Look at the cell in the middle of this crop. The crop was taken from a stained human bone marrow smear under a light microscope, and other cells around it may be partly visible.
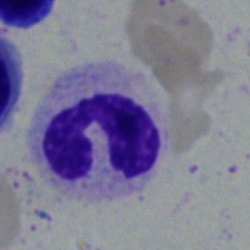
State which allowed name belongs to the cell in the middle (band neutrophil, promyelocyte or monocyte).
band neutrophil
